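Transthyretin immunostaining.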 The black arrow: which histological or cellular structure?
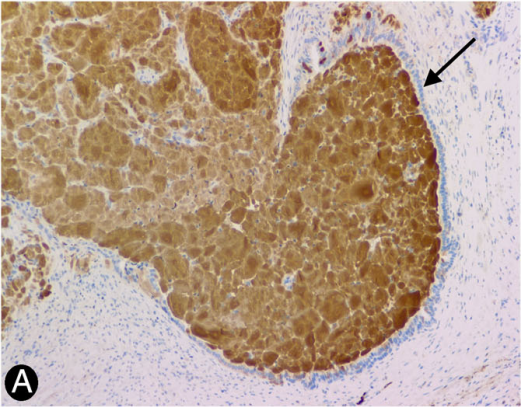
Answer: Epithelium-lined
